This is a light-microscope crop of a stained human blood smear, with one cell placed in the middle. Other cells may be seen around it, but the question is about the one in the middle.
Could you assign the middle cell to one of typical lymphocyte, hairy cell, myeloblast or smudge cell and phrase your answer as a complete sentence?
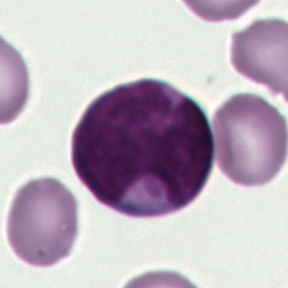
In the centre of this crop there is a myeloblast.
